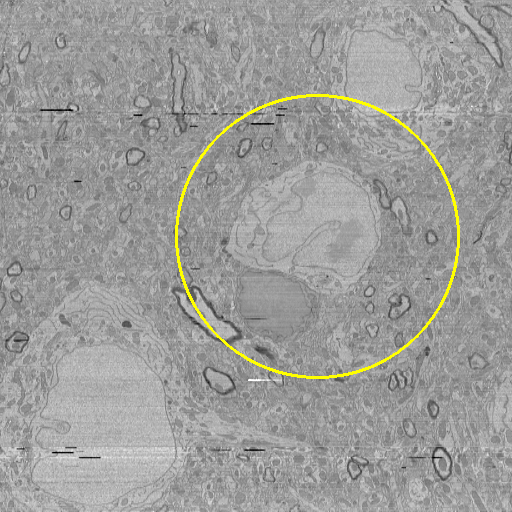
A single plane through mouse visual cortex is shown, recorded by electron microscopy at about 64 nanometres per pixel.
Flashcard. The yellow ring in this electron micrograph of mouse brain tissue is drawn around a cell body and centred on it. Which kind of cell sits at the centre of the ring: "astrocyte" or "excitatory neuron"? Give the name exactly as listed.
excitatory neuron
